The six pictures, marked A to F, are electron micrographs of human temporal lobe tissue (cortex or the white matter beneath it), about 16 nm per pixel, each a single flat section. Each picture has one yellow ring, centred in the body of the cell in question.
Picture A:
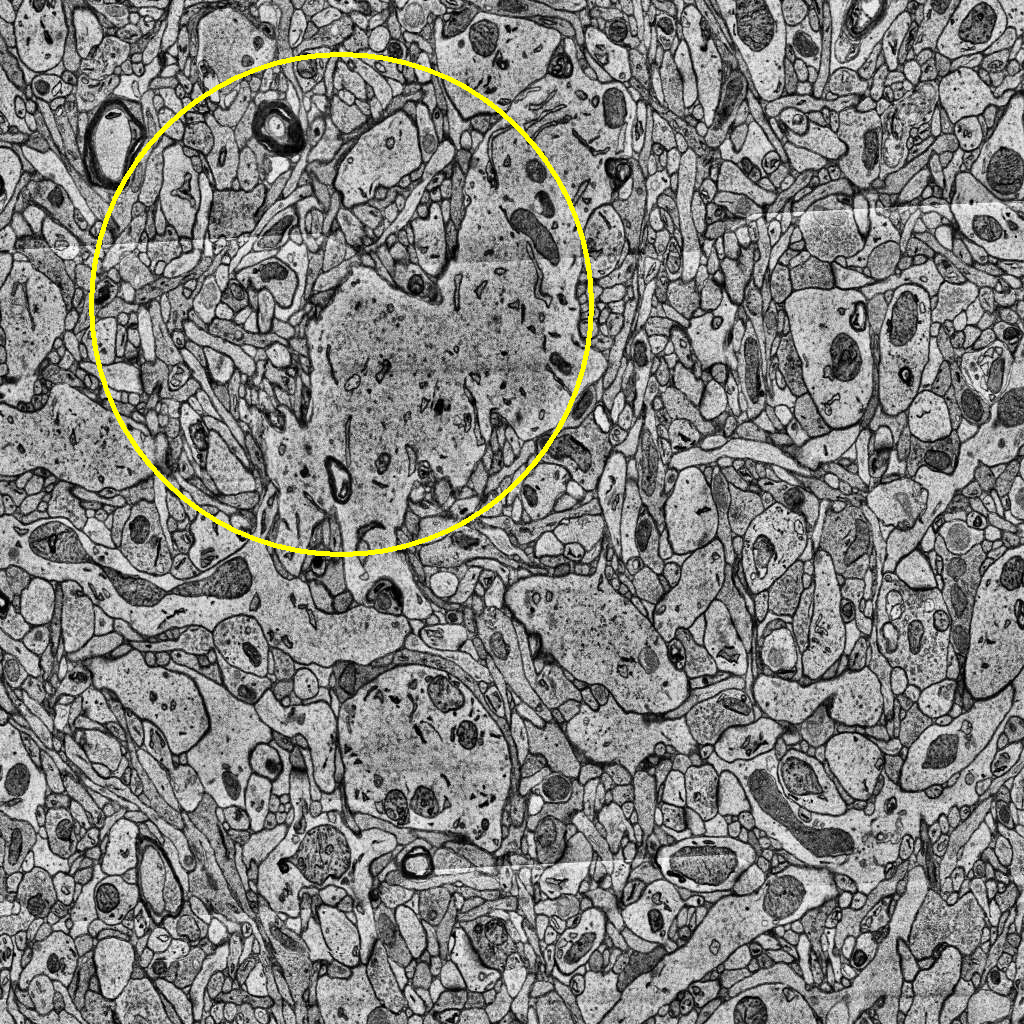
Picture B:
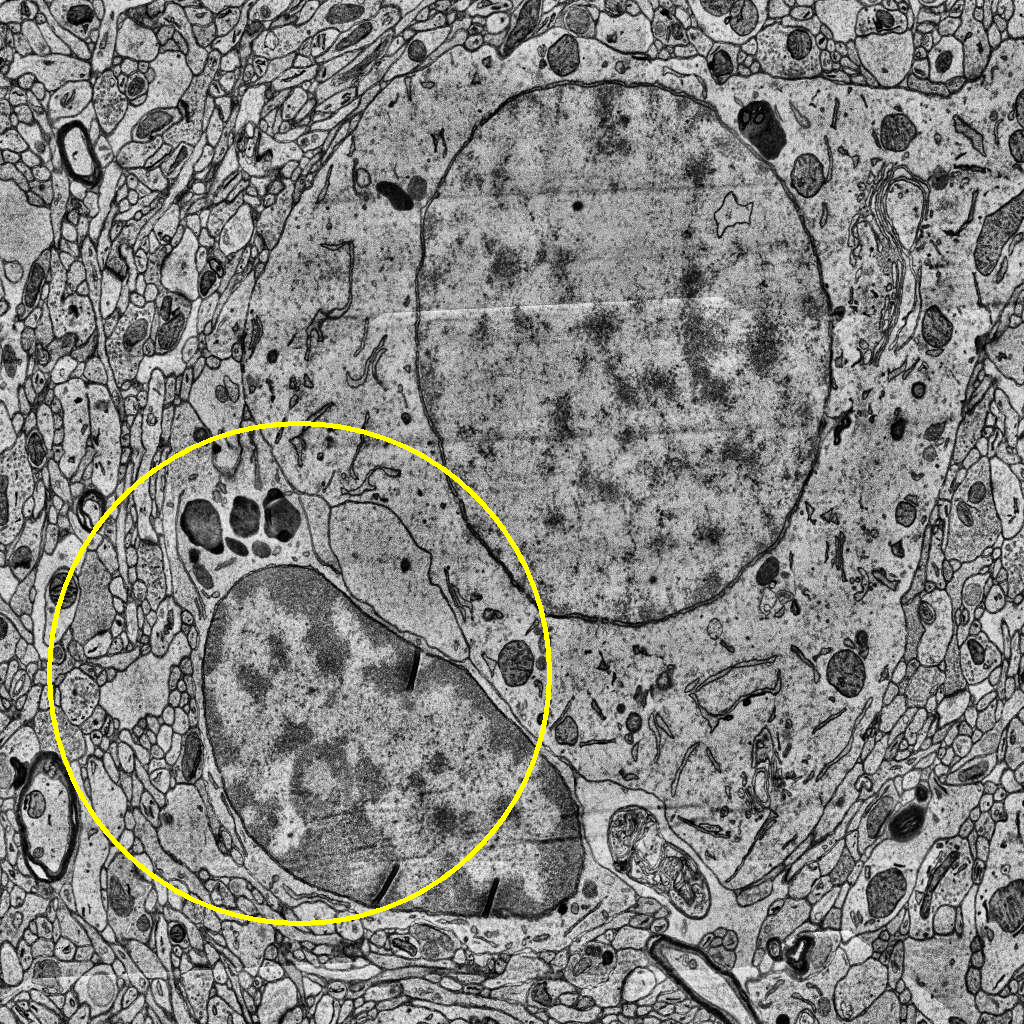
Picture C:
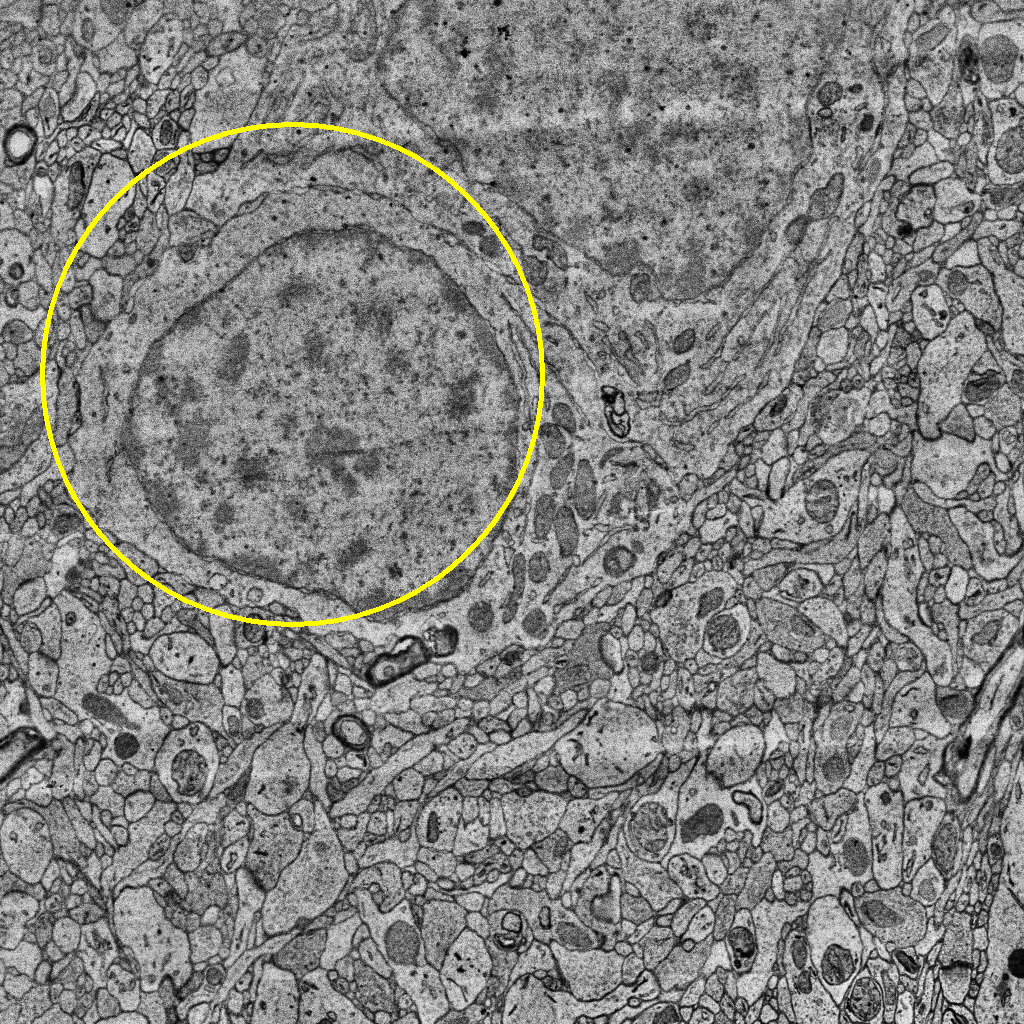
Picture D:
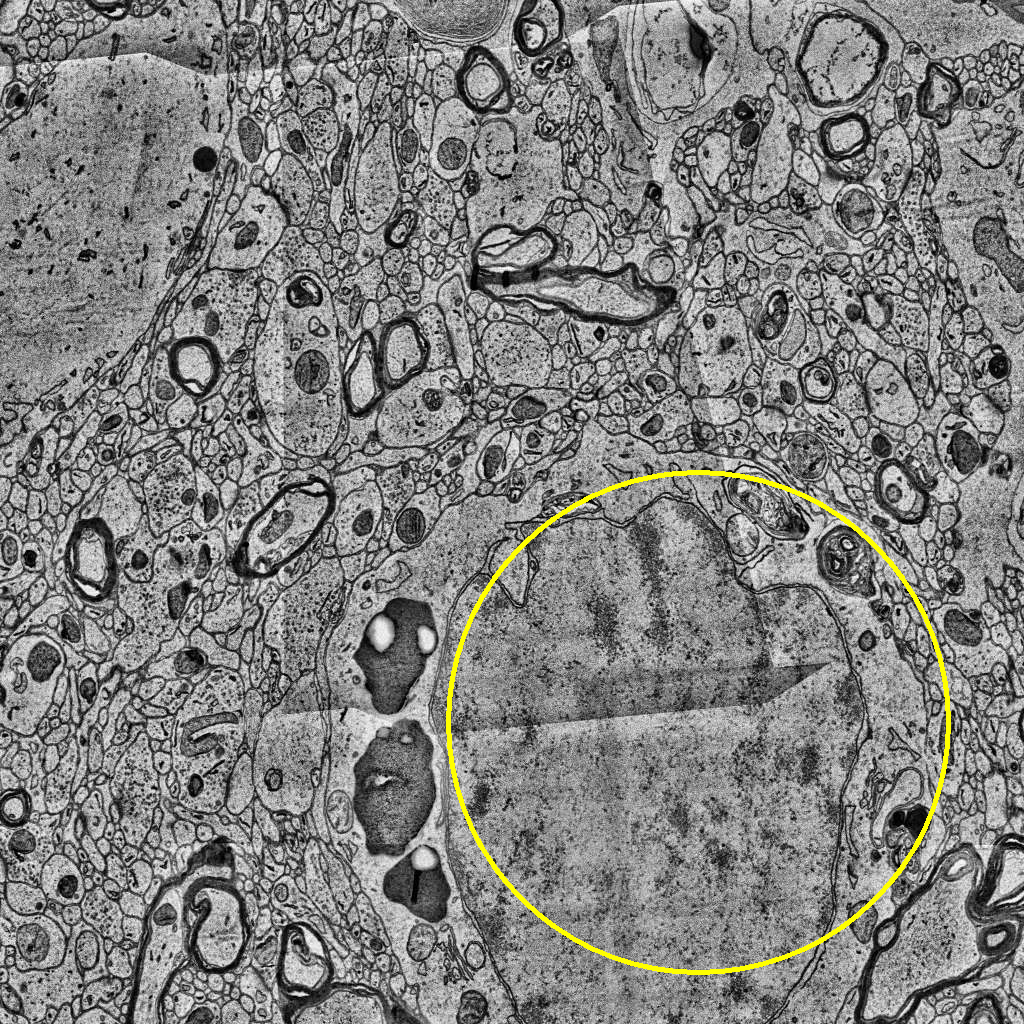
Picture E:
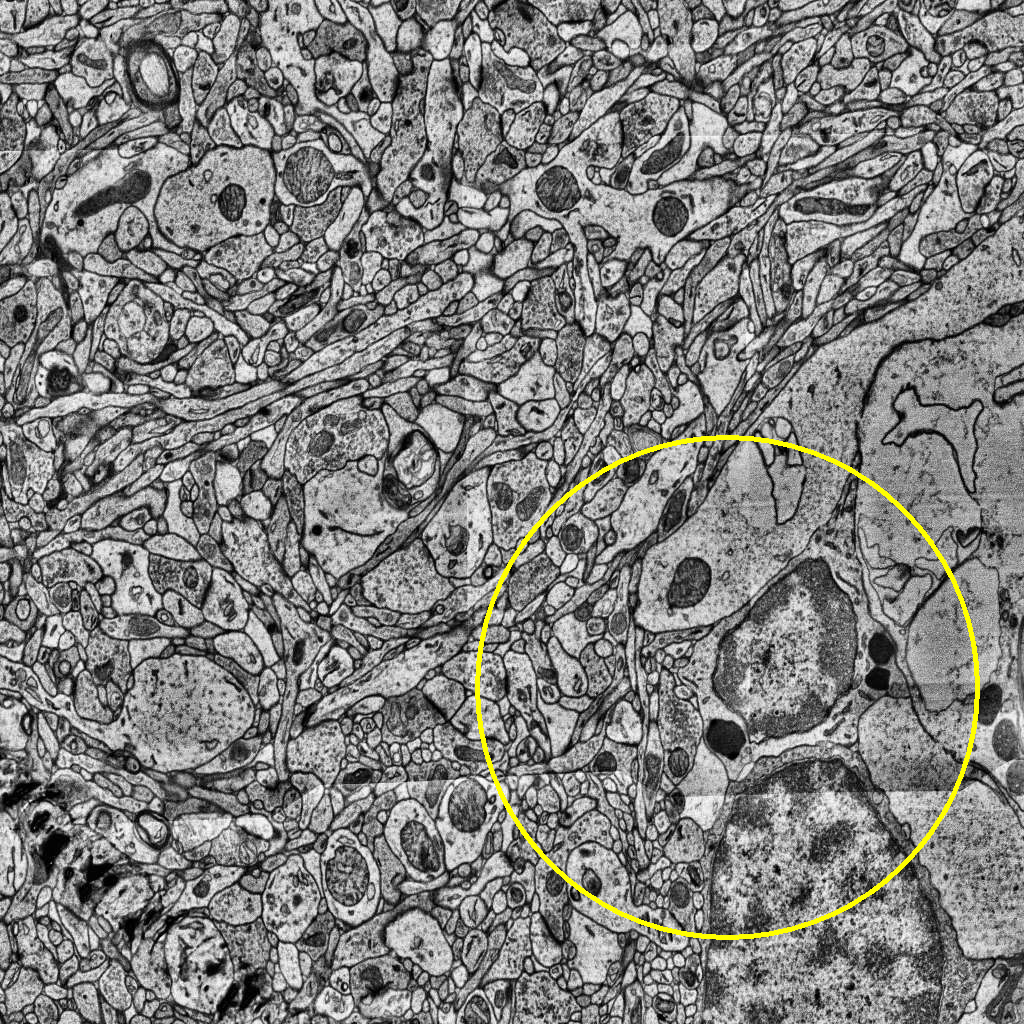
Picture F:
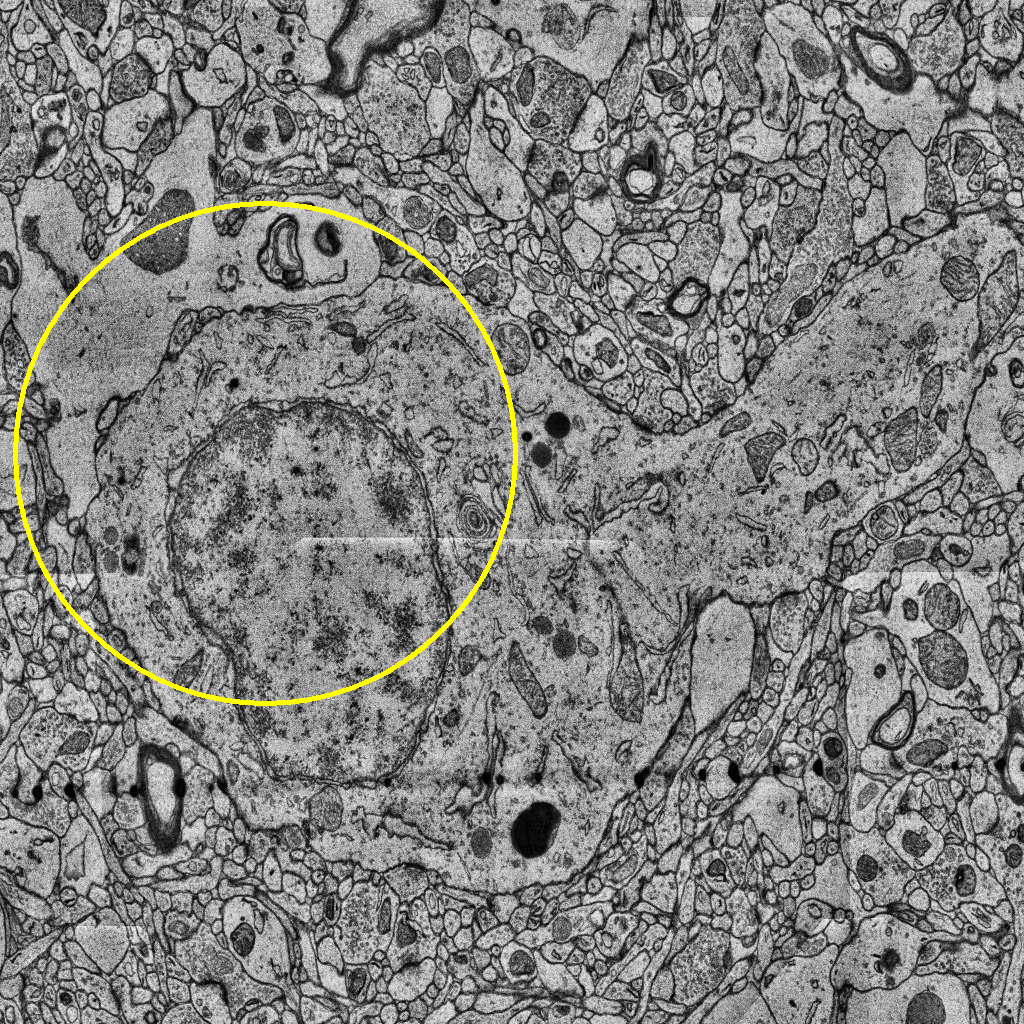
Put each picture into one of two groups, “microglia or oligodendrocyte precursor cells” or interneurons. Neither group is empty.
Pictures A, B, C and E show “microglia or oligodendrocyte precursor cells”, and pictures D and F show interneurons.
